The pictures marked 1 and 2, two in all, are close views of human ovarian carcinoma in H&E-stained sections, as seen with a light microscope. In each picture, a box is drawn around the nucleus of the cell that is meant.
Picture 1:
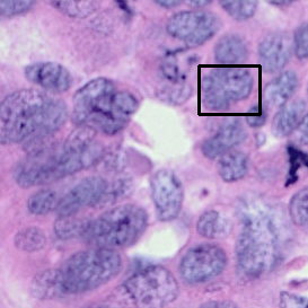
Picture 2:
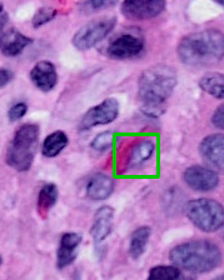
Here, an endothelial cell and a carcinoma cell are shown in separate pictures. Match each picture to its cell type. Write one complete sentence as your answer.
Picture 1 shows a carcinoma cell and picture 2 shows an endothelial cell.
